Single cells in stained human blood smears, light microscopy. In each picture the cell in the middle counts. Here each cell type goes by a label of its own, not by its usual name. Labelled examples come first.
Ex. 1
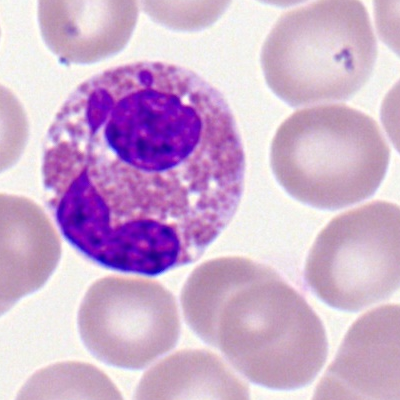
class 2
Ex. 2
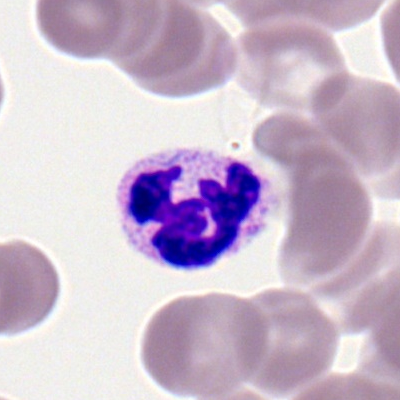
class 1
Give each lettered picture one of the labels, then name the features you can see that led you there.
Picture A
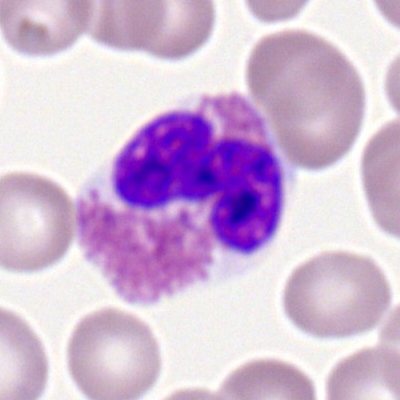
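class 2. Reason: The granules are coarse, separate dots rather than fine dust.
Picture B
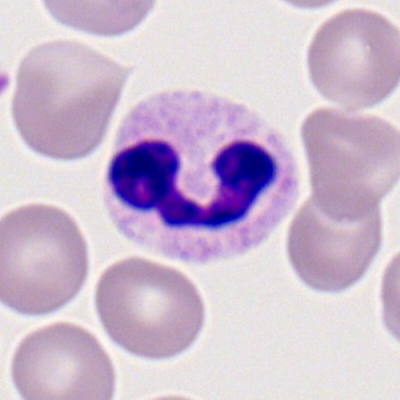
class 1. Reason: Fine pinkish-violet granules are scattered throughout the cytoplasm.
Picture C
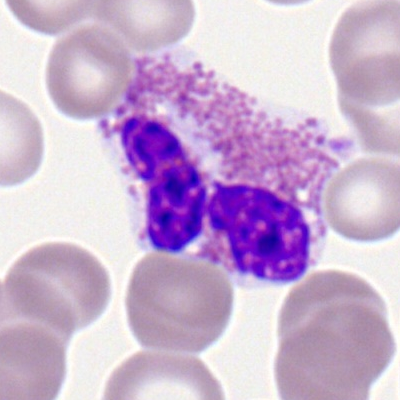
class 2. Reason: The granules are coarse enough to be seen as separate dots.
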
